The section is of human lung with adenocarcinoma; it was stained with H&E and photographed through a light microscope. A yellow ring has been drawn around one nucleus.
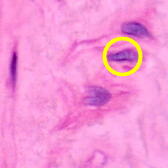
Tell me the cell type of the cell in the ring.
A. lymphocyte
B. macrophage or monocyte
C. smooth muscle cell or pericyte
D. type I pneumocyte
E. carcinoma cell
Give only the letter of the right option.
C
